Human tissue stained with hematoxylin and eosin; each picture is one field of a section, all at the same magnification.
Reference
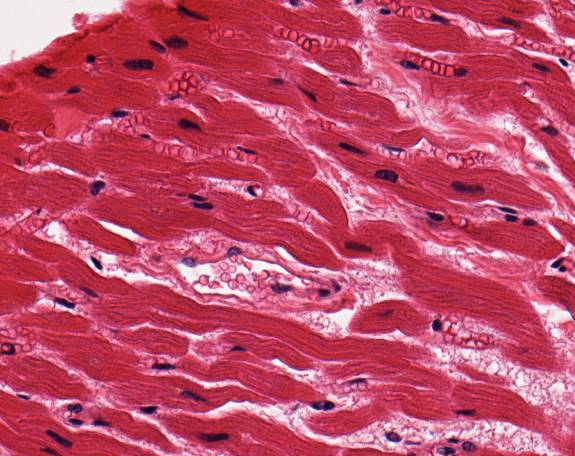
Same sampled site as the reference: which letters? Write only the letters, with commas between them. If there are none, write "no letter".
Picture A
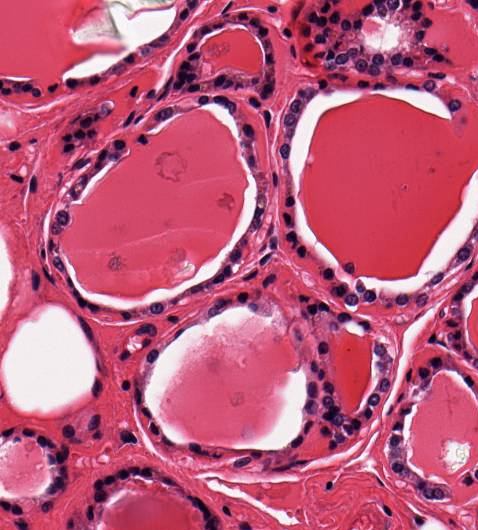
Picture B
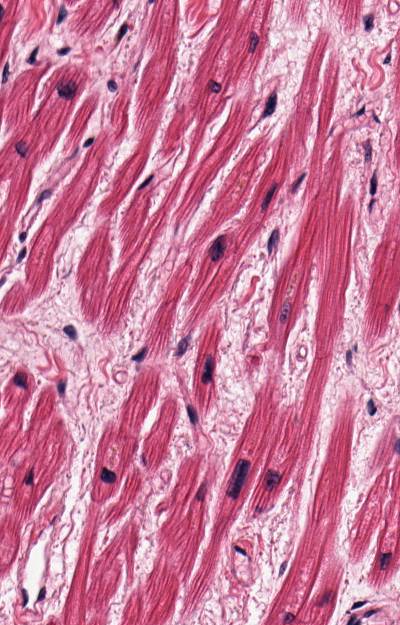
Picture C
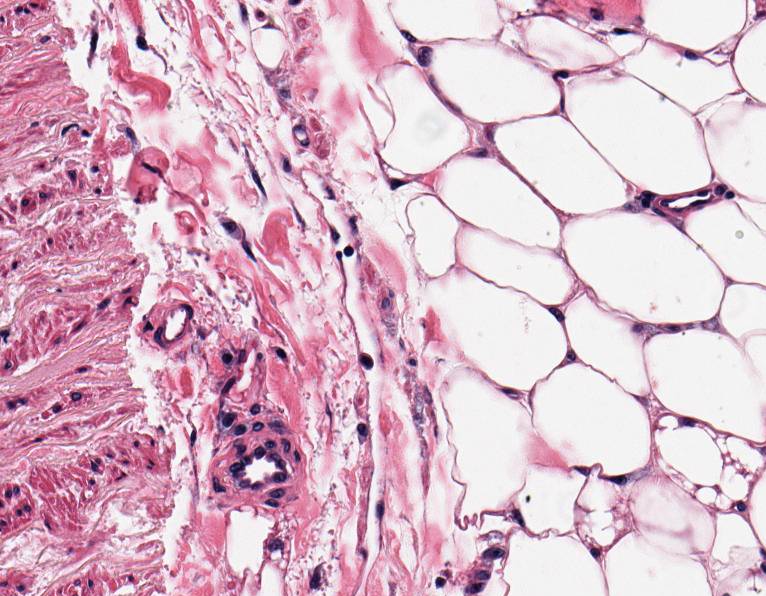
B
